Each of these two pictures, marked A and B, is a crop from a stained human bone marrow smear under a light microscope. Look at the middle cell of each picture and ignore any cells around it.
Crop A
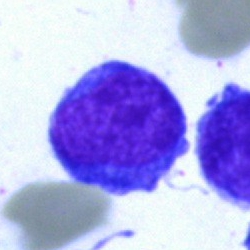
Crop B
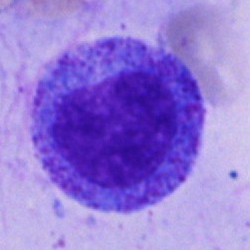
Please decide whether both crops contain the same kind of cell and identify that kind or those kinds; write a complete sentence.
No, just to correct that: crop A shows a blast, crop B shows a promyelocyte.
